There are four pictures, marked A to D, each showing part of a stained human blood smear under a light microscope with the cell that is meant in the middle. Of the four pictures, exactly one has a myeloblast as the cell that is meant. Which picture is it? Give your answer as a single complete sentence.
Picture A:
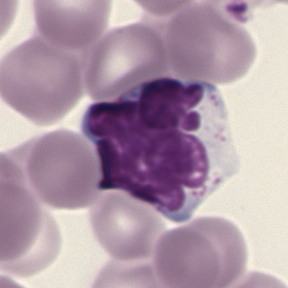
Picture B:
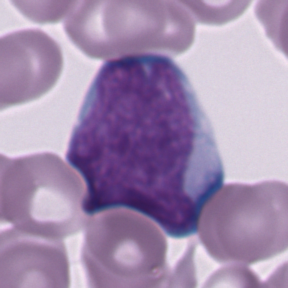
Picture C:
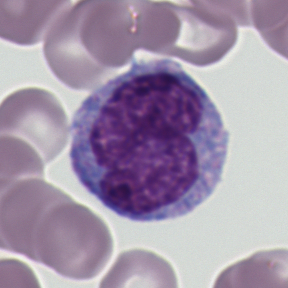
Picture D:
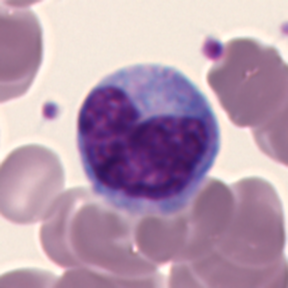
Picture B is the one that shows the myeloblast.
